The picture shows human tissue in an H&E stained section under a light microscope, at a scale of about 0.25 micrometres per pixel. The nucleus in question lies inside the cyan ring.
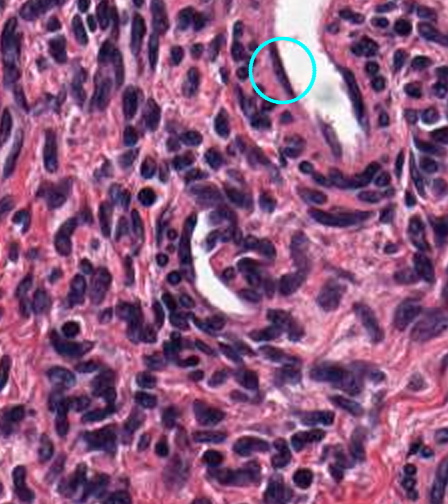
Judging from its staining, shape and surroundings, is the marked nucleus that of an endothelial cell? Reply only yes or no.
yes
